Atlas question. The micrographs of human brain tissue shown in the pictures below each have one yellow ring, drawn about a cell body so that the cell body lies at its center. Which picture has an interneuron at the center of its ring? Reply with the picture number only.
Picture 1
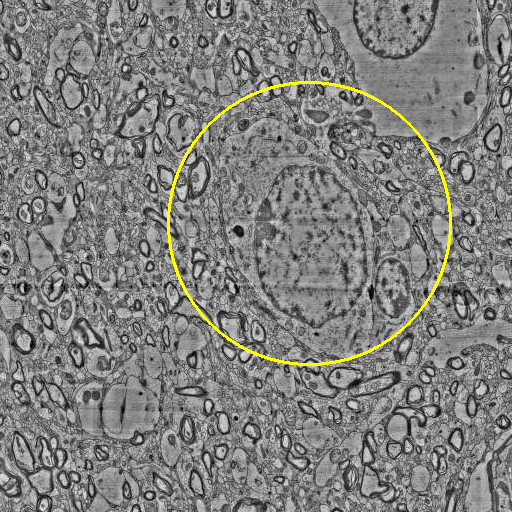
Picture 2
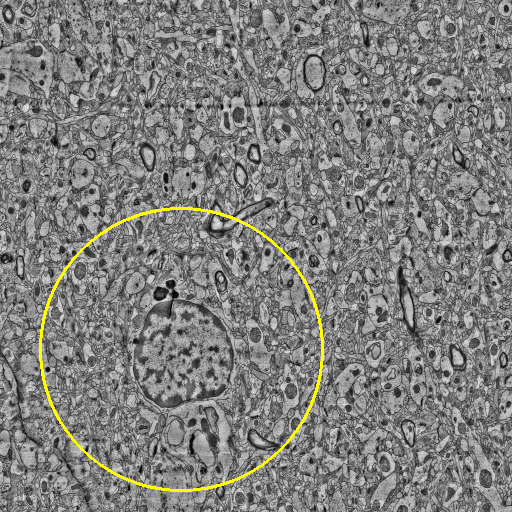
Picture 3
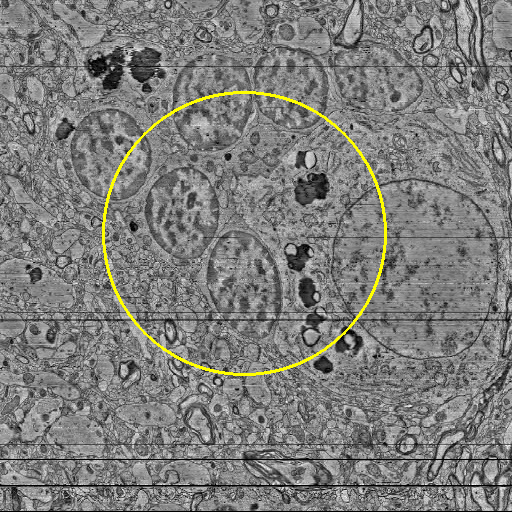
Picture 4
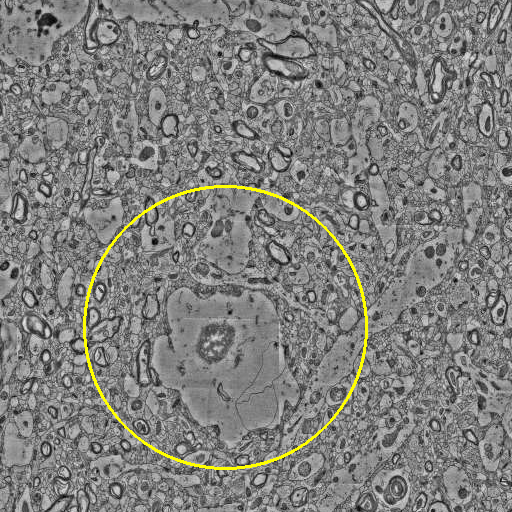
1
